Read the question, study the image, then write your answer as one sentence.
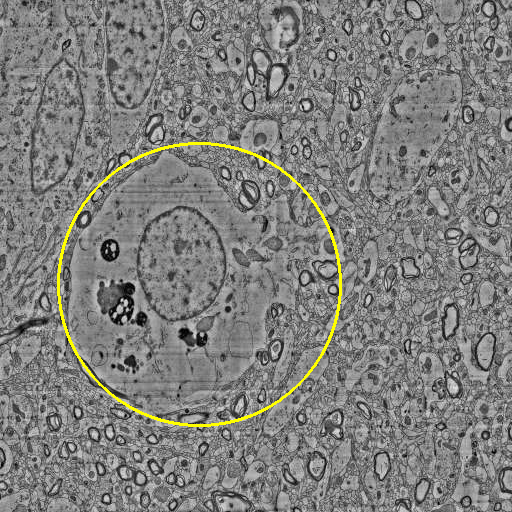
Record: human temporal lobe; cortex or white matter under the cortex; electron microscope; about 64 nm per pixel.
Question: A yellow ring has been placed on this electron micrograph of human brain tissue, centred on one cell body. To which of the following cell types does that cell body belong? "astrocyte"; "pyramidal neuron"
That cell body belongs to an astrocyte.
